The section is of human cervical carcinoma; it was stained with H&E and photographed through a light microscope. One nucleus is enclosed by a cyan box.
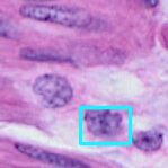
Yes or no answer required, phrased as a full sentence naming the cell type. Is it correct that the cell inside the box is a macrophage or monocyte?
Yes, the cell inside the box is assigned the identity of a macrophage or monocyte.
